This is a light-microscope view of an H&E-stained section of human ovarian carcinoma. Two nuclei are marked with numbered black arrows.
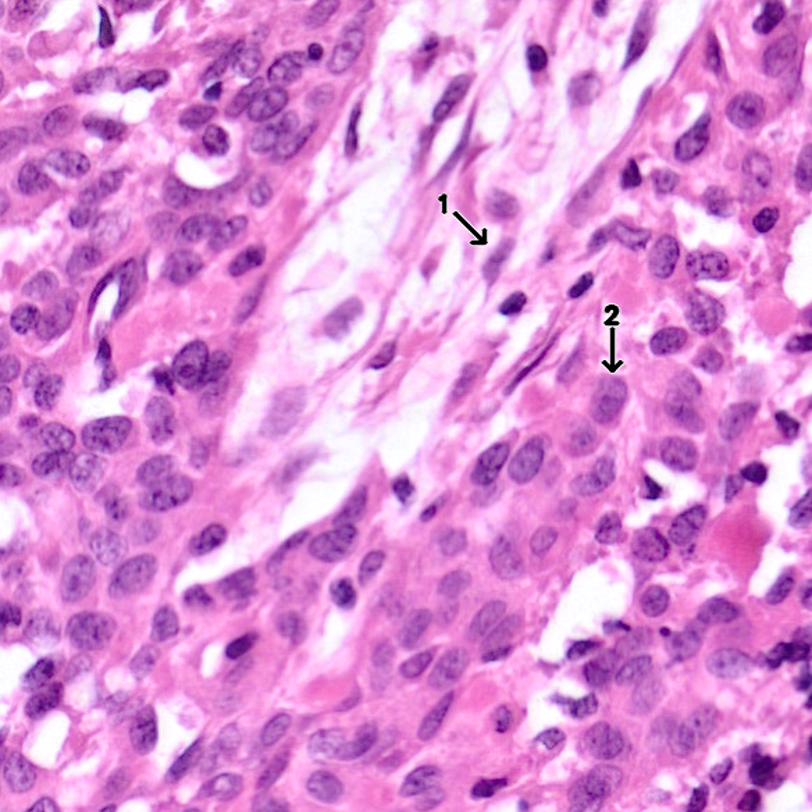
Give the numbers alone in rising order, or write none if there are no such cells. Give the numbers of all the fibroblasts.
1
